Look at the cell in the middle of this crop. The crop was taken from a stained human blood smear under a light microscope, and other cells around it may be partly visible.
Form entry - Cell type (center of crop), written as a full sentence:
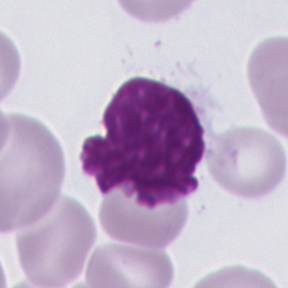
Occupying the centre of the crop is a smudge cell.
